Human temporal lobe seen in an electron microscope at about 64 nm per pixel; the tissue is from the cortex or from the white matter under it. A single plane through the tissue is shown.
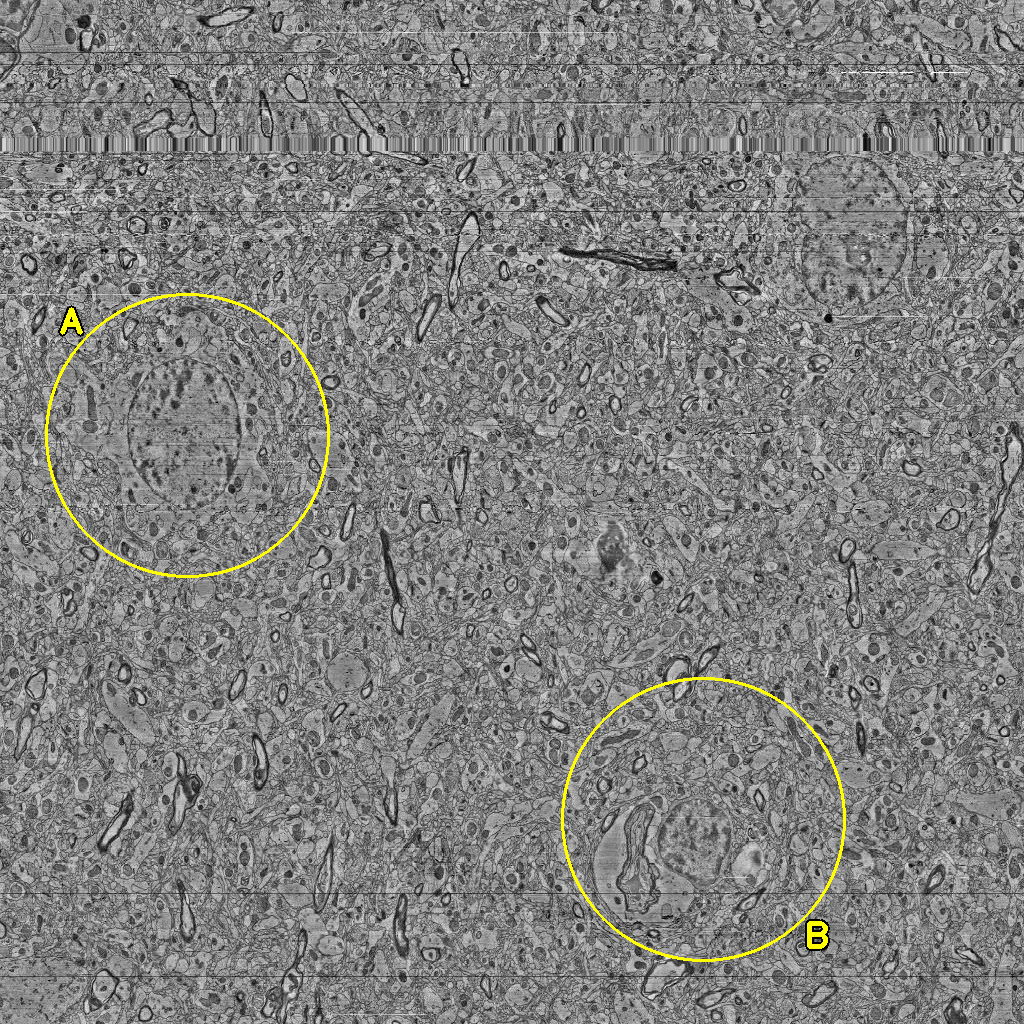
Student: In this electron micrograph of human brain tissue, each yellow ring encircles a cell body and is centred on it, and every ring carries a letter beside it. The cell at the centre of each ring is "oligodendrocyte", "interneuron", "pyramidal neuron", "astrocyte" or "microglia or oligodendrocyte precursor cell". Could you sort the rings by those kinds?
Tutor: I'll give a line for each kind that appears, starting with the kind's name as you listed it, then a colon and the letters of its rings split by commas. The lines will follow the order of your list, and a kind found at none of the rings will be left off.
oligodendrocyte: B
astrocyte: A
